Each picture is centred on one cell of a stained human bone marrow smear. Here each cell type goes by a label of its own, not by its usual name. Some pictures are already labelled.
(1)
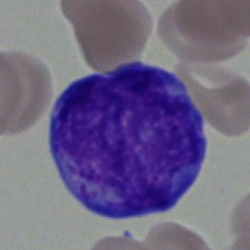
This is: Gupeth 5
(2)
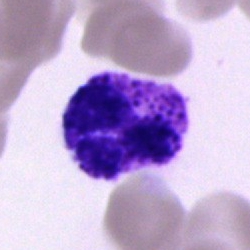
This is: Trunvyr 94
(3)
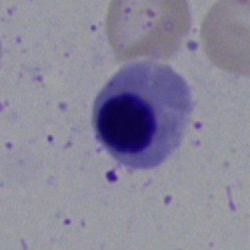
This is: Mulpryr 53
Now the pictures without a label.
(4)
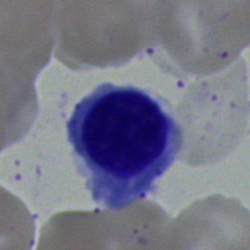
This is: Mulpryr 53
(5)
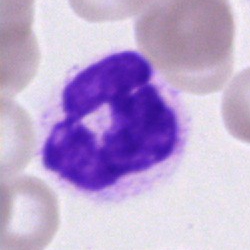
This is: Trunvyr 94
